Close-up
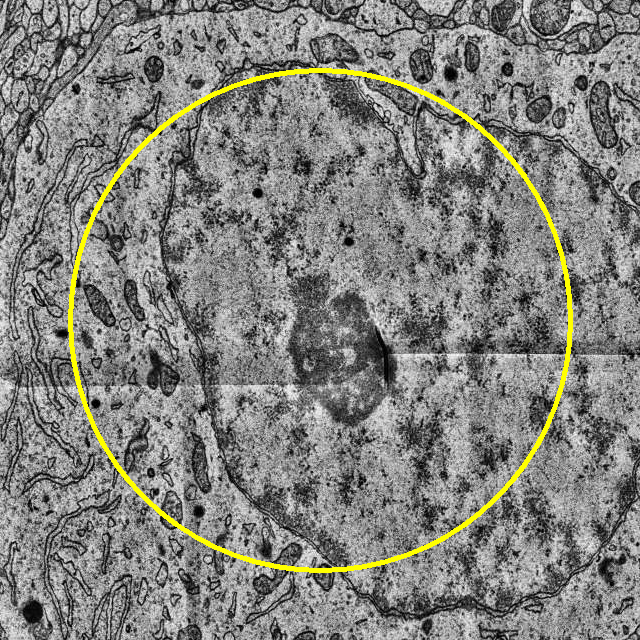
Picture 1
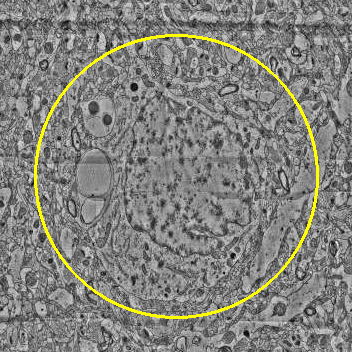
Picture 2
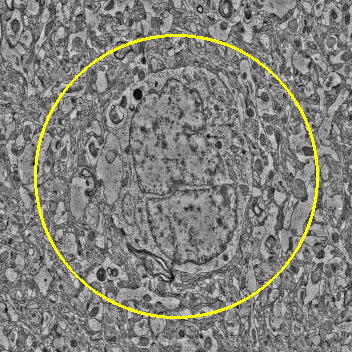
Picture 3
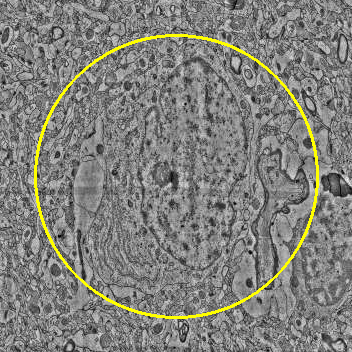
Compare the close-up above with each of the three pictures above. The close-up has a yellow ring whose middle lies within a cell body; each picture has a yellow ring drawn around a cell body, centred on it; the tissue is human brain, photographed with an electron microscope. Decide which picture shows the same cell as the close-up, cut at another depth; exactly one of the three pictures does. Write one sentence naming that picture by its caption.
The cell displayed in the close-up is circled in Picture 1.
